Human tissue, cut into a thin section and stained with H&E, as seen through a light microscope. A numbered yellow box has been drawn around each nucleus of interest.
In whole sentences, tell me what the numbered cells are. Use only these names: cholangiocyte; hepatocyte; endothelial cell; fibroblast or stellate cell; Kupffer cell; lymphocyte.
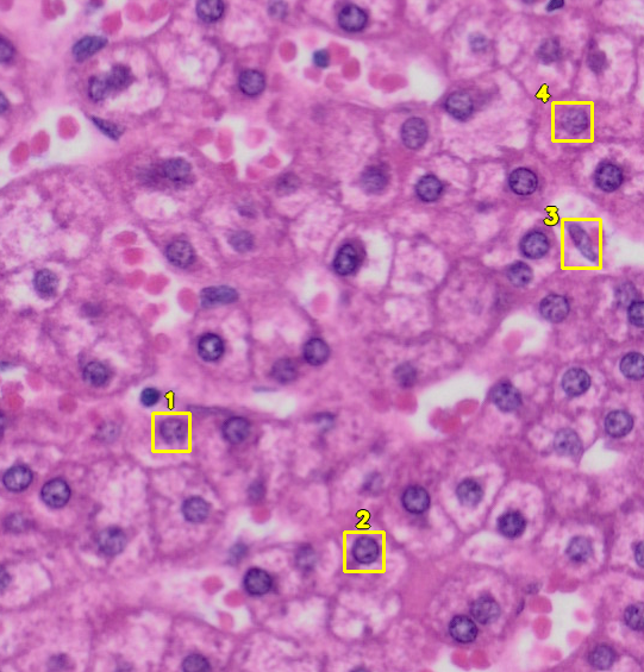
Cells 1, 2 and 4 are hepatocytes. Cell 3 is a Kupffer cell.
